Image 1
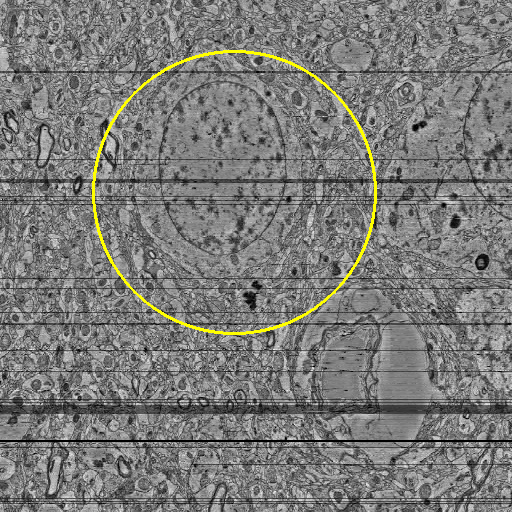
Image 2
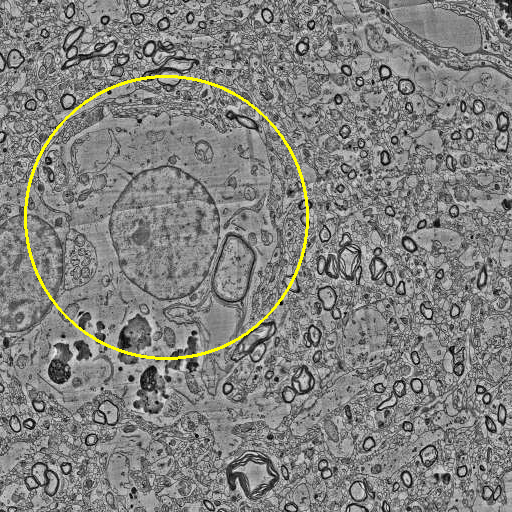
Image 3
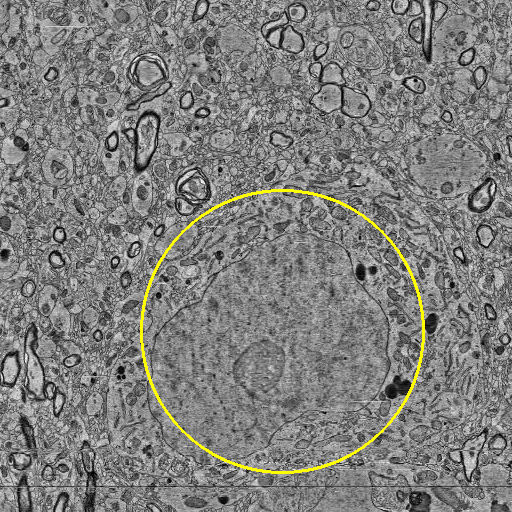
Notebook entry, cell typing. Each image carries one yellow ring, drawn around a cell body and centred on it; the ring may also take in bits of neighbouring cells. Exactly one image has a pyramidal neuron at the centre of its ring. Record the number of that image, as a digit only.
1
